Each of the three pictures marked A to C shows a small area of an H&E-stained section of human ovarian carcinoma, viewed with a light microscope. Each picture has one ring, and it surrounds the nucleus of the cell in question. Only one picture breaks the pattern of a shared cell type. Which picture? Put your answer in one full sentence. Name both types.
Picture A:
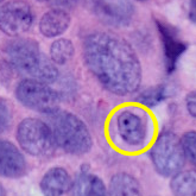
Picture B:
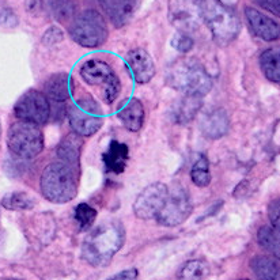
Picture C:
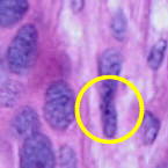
Picture C is the odd one out: it shows a fibroblast, while the others show “macrophages or monocytes”.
